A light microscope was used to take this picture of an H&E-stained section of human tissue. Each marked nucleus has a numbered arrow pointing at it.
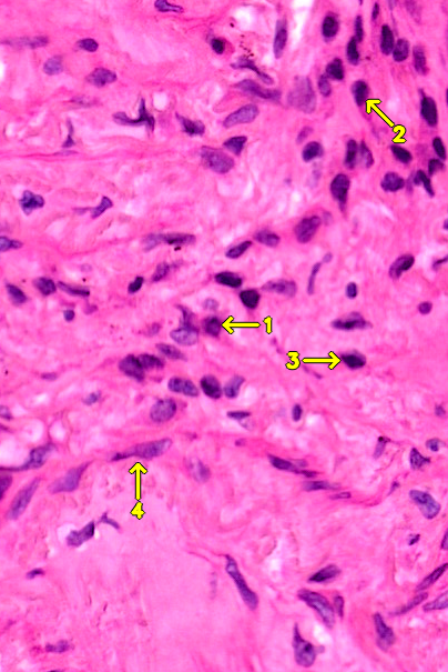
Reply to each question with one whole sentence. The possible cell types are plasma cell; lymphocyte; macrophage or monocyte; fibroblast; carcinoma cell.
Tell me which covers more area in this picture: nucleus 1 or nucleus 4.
Nucleus 4 covers more area, about 2.5 times as much as nucleus 1.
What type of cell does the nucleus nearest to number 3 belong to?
The nucleus nearest to number 3 is that of a fibroblast.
